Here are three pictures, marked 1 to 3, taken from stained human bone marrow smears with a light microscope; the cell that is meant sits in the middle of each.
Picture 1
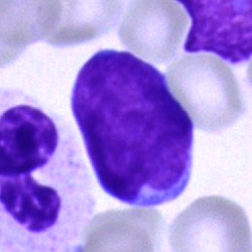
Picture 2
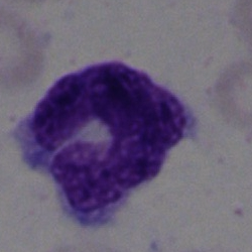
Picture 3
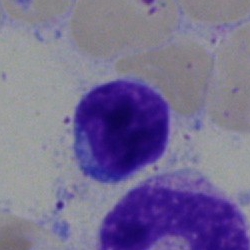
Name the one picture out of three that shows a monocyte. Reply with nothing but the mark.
2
